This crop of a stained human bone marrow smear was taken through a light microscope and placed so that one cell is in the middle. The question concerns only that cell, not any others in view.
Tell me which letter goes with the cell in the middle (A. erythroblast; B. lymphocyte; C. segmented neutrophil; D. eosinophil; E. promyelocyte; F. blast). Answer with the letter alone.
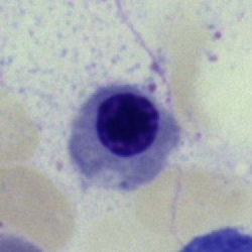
A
